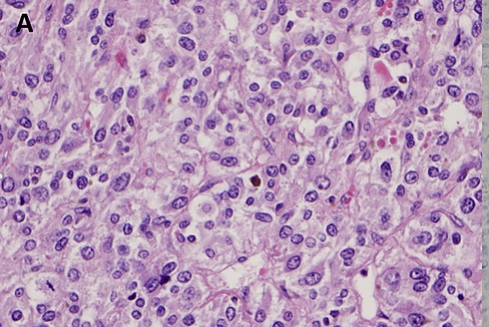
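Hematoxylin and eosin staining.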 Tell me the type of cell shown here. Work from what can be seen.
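Cells are large with plentiful cytoplasm. Cytoplasm is pale purple-pink and finely granular. On this evidence: large cells with granular amphophilic cytoplasm.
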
